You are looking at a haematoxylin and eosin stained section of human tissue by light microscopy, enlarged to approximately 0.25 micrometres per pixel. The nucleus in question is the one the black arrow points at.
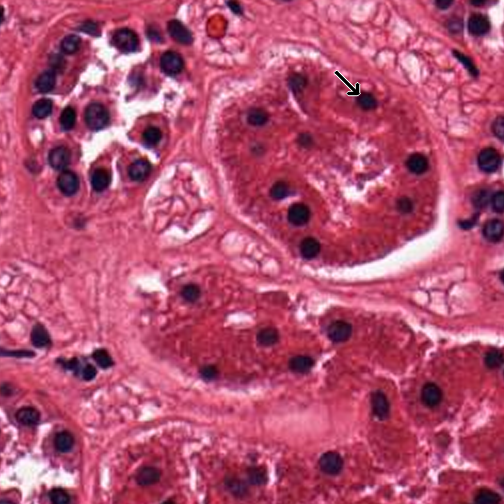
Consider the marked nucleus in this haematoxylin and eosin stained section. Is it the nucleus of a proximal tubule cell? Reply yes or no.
yes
